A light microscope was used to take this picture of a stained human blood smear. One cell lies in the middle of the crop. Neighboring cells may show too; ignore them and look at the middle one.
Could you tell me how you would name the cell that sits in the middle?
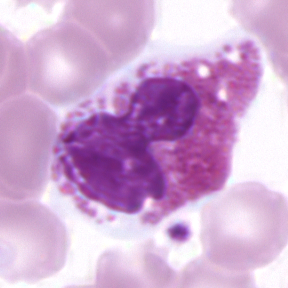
eosinophil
